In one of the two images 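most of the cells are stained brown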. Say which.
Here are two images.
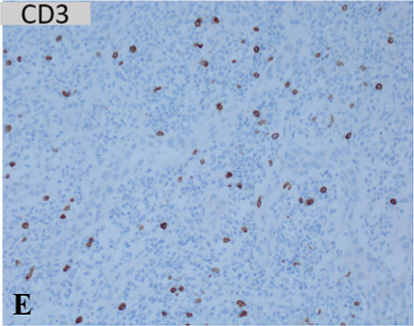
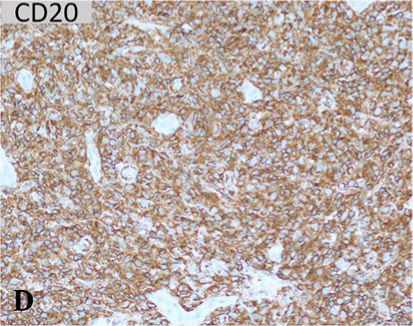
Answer: The second image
